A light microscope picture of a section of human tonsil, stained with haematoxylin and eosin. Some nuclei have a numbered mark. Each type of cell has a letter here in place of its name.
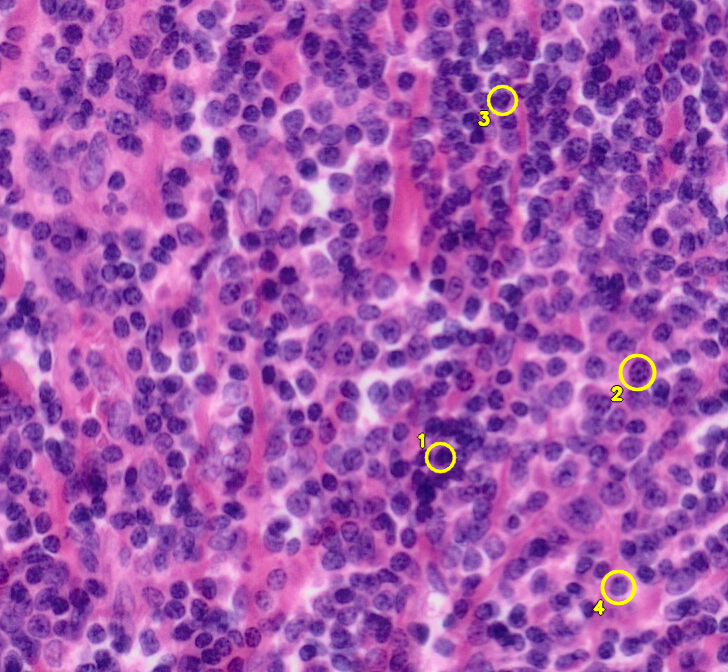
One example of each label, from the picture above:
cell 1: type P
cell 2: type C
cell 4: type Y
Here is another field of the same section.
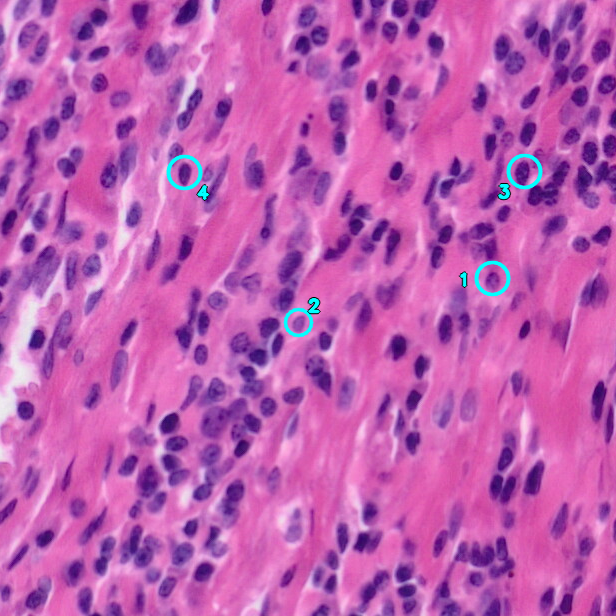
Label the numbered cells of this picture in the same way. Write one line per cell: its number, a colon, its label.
1: type Y
2: type Y
3: type C
4: type Y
